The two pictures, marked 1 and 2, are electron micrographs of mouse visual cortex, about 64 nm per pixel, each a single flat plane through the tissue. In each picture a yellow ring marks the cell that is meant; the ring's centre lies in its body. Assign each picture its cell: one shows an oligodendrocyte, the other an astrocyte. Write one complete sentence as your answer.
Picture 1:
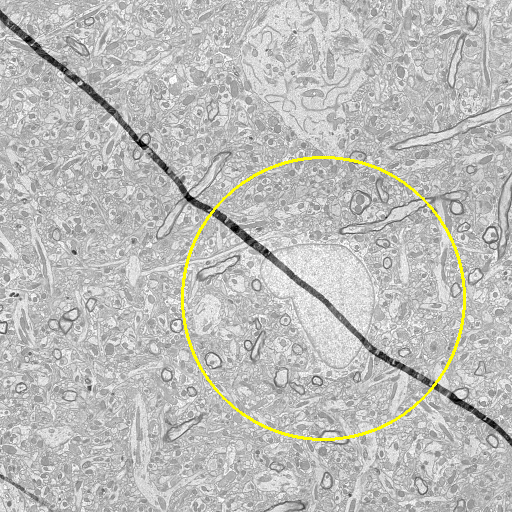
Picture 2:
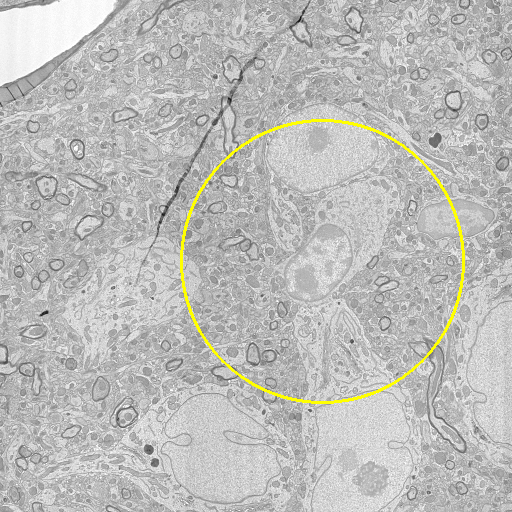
In picture 1 the cell is an astrocyte; in picture 2, an oligodendrocyte.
